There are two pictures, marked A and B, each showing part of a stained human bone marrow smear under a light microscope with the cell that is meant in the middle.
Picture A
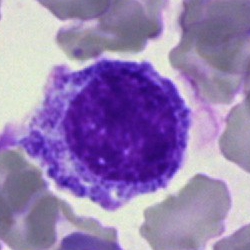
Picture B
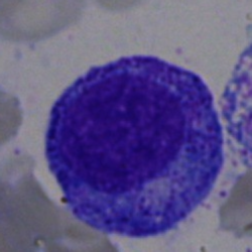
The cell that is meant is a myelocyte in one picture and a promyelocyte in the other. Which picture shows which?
A: myelocyte
B: promyelocyte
